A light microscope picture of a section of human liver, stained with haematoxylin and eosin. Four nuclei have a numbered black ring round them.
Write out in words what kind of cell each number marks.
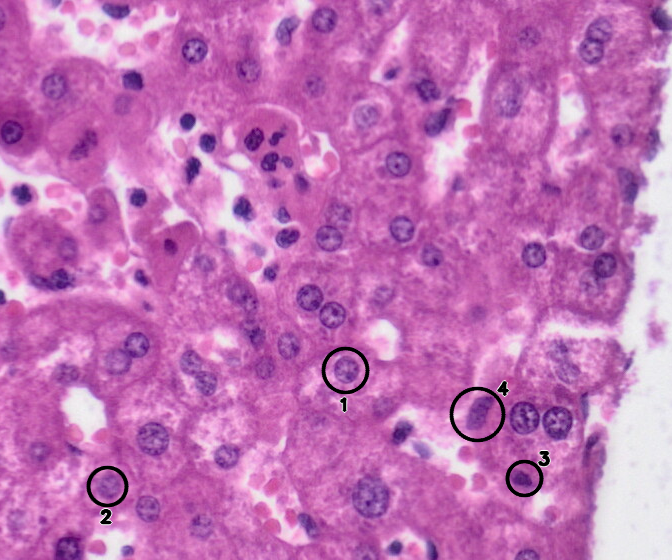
Cells 1 and 2 are hepatocytes. Cell 3 is a fibroblast or stellate cell. Cell 4 is a Kupffer cell.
